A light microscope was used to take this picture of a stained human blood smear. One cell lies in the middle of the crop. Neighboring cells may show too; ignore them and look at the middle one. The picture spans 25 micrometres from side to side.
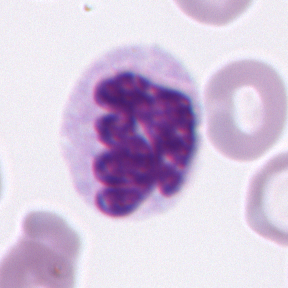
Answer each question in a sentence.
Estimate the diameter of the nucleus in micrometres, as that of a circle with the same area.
It measures about 10 micrometres across.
